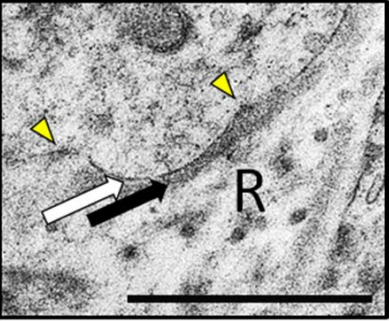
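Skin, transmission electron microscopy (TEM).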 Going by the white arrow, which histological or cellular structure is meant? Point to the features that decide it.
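The white arrow points to a thin pale band directly beneath the cell membrane.
Conclusion: lamina lucida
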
